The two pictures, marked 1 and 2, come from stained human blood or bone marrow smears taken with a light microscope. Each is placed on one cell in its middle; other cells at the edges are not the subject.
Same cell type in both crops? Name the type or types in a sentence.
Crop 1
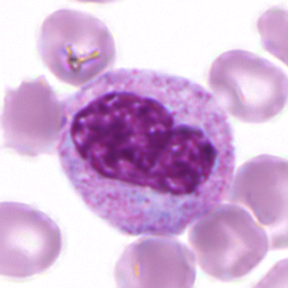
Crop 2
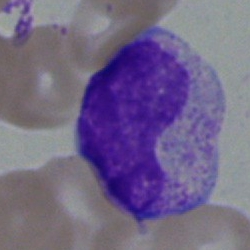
Yes, the two crops share the same answer, metamyelocytes.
